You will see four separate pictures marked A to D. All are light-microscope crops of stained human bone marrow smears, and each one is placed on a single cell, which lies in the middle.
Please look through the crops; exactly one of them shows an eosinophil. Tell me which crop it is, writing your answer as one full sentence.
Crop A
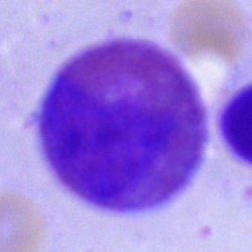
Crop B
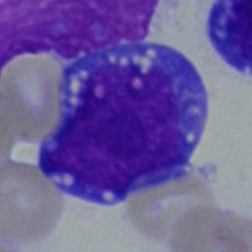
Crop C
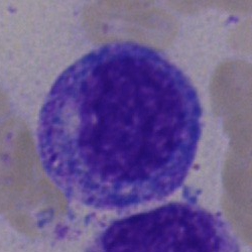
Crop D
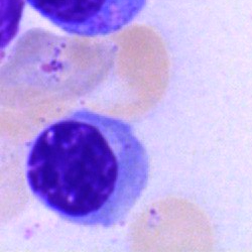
The sole crop showing an eosinophil is crop A.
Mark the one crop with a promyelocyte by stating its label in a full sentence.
The requested cell, a promyelocyte, is the one in crop C.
